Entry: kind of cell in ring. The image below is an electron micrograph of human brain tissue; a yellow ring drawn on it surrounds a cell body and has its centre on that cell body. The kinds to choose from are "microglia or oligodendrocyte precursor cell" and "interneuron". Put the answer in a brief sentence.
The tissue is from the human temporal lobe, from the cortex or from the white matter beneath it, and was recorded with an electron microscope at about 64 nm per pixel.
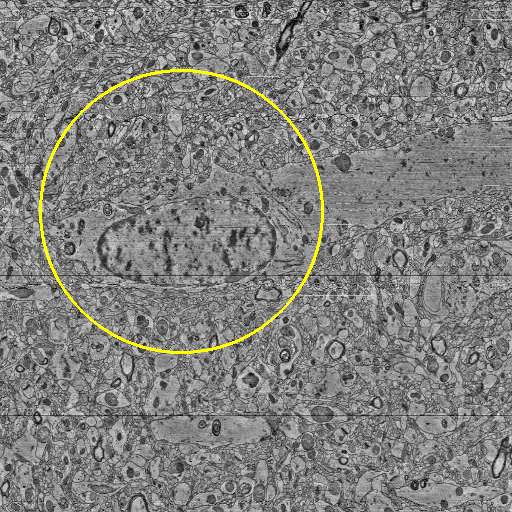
The ring has been drawn around a microglial cell or oligodendrocyte precursor cell.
